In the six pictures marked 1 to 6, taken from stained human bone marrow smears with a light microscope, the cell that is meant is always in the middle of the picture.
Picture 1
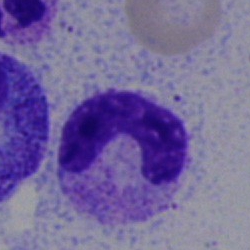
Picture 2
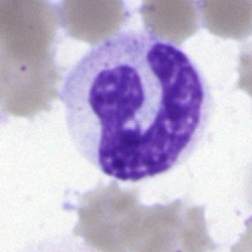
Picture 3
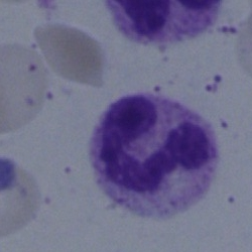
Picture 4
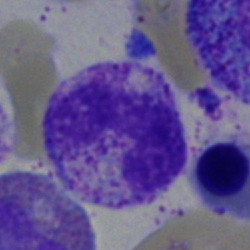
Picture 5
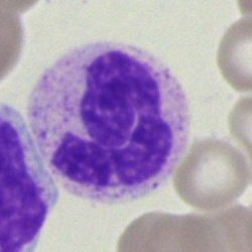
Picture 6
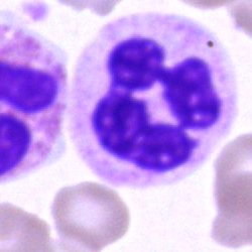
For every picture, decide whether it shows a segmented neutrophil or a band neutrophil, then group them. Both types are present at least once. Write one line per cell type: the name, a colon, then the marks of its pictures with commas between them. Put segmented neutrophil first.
segmented neutrophil: 5, 6
band neutrophil: 1, 2, 3, 4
